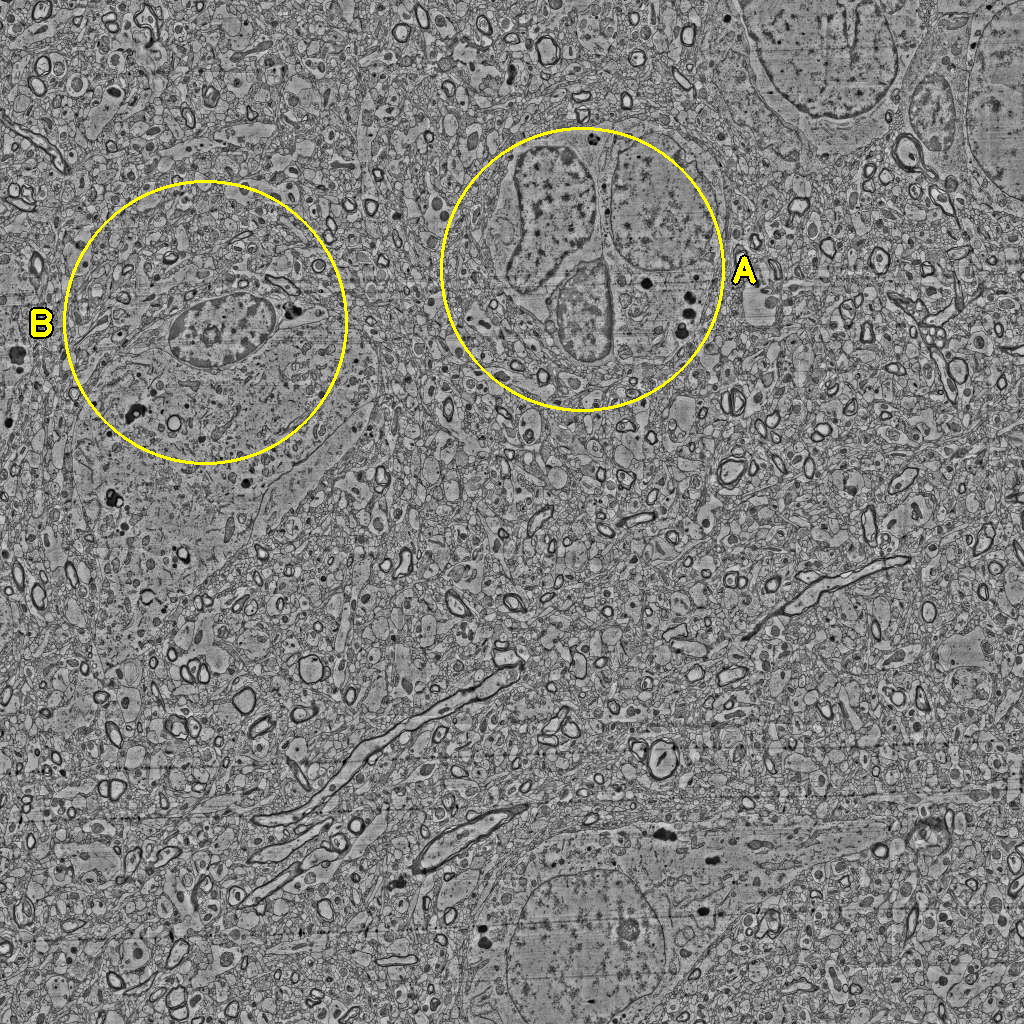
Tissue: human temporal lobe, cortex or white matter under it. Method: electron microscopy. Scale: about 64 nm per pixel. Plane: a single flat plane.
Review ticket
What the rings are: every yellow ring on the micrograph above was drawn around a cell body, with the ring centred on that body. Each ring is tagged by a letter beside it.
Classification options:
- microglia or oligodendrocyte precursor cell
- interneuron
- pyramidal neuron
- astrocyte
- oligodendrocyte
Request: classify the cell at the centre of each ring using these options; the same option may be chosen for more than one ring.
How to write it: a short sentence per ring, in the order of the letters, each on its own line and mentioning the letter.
The cell centred in ring A is an oligodendrocyte.
The cell centred in ring B is a microglial cell or oligodendrocyte precursor cell.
